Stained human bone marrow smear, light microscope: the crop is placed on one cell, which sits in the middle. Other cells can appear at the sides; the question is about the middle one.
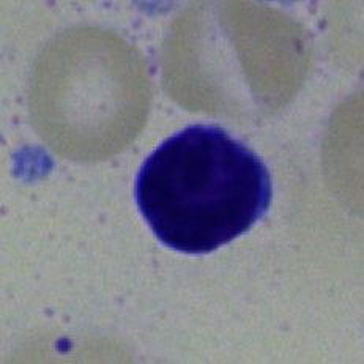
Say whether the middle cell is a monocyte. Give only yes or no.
no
